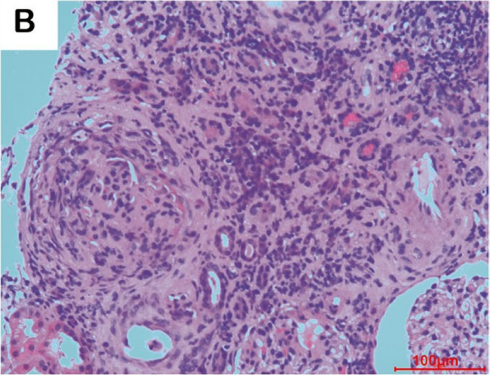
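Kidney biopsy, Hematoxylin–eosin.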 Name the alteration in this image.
lymphocytes infiltration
